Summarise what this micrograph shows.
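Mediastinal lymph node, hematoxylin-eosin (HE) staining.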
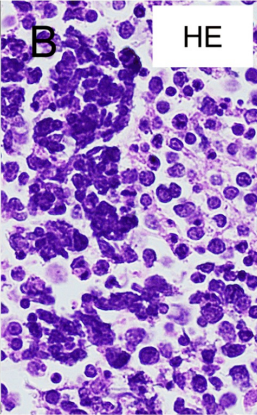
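The cells are small to medium sized, with round to oval nuclei that stain deep purple and fill almost the whole cell, leaving only a thin rim of cytoplasm or none visible. Neighbouring nuclei press closely together, so that the clusters look like dark, tightly packed clumps. Between the clumps lie looser, paler cells with more visible pink-violet cytoplasm, and small clear spaces separate the groups. No glands or organized layers are formed; the growth is solid and disorderly.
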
